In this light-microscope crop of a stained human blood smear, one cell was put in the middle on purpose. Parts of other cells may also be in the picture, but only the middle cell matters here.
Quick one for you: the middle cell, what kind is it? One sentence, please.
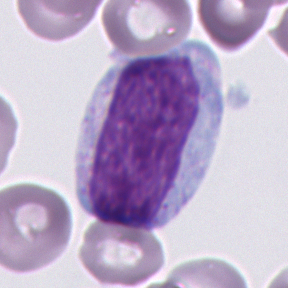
Occupying the centre of the crop is a myelocyte.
